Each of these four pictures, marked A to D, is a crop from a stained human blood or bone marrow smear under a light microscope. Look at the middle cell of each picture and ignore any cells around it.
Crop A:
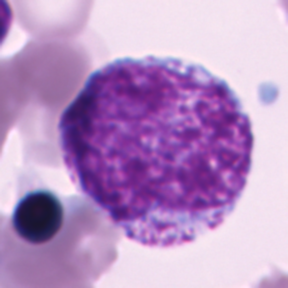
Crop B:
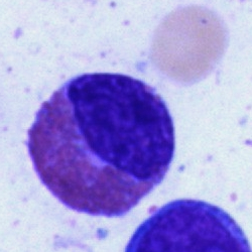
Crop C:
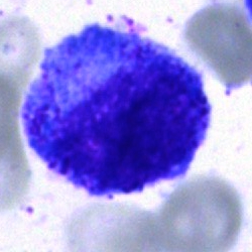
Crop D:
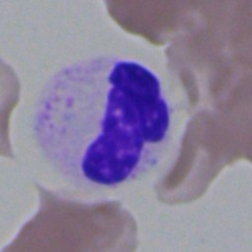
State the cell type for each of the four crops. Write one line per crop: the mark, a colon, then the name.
A: promyelocyte
B: eosinophil
C: promyelocyte
D: neutrophil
